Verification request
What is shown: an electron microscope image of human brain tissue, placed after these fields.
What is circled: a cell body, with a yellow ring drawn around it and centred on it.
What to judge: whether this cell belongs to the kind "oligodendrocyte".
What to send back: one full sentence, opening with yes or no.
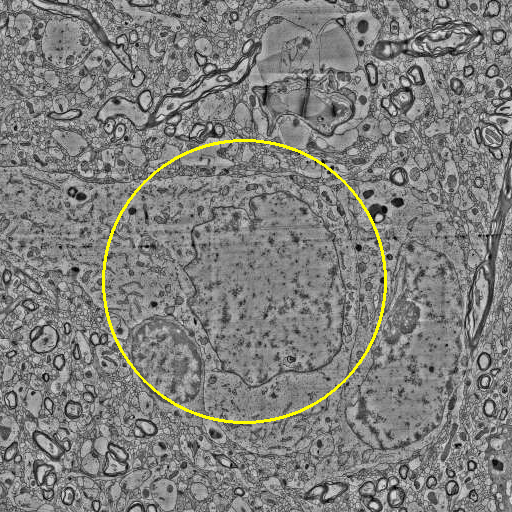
No, the cell on which the yellow ring is centred in the picture is of a different kind.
